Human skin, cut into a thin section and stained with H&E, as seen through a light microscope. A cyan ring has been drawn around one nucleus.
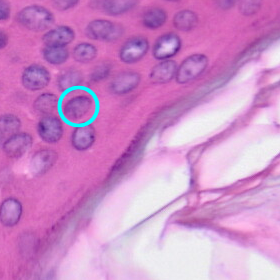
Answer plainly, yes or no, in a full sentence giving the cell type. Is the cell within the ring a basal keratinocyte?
No, the cell within the ring is identified as a suprabasal keratinocyte and not as a basal keratinocyte.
